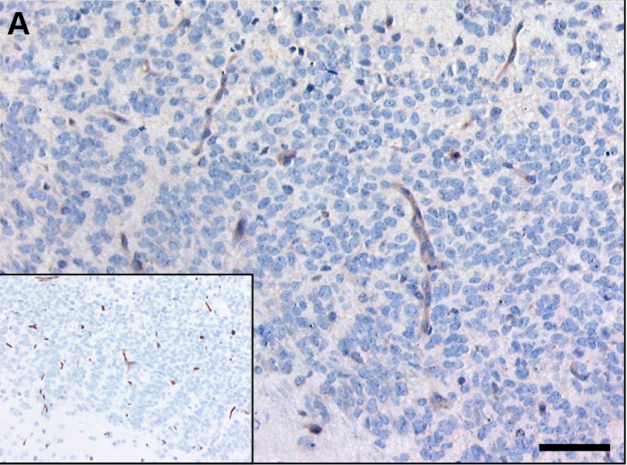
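The tumor cells have oval, blue nuclei and little visible cytoplasm, and they crowd closely together. Slender, elongated brown profiles, some branching, run between them.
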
